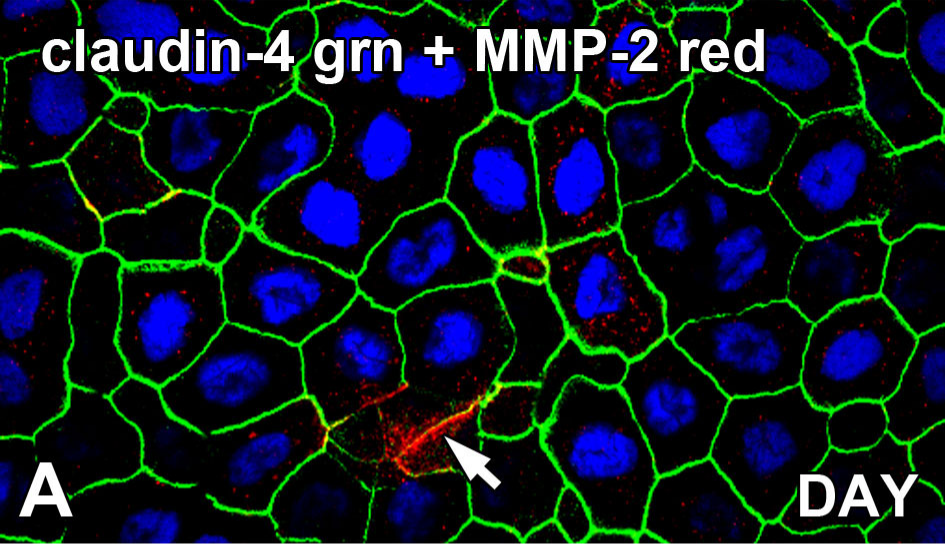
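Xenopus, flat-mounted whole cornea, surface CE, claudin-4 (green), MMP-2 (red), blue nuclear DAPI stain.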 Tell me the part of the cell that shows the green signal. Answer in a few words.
lateral membranes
